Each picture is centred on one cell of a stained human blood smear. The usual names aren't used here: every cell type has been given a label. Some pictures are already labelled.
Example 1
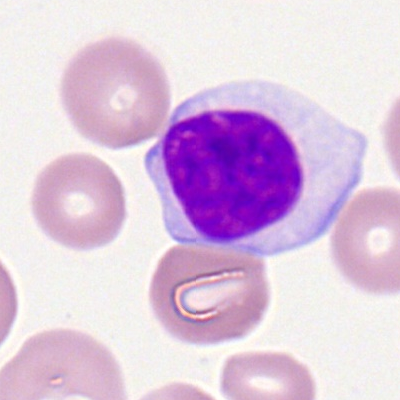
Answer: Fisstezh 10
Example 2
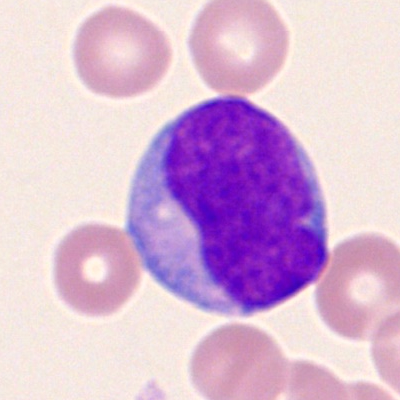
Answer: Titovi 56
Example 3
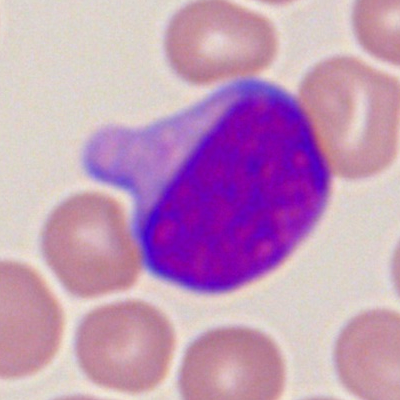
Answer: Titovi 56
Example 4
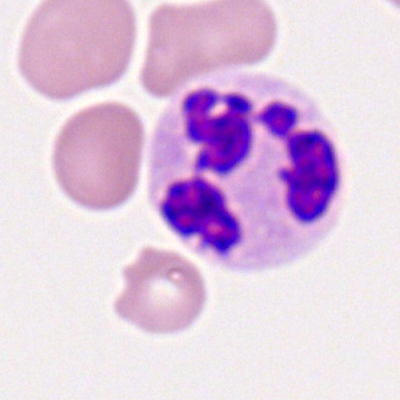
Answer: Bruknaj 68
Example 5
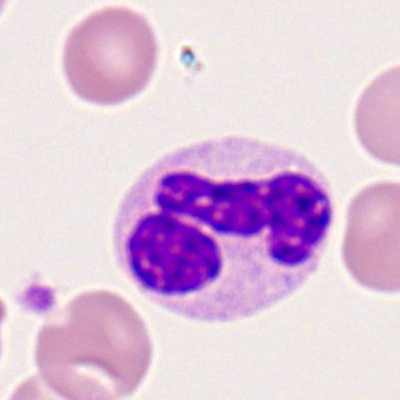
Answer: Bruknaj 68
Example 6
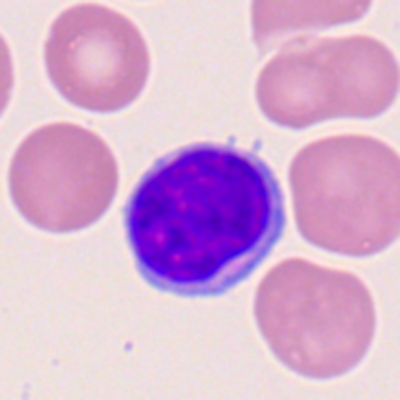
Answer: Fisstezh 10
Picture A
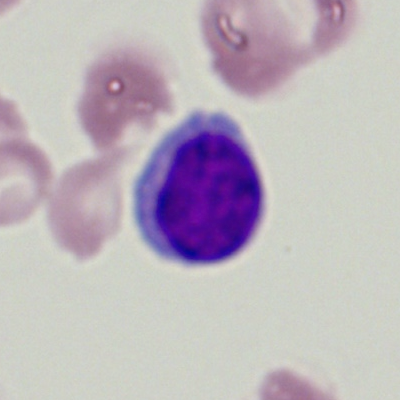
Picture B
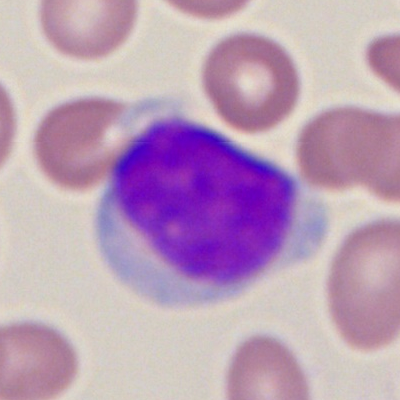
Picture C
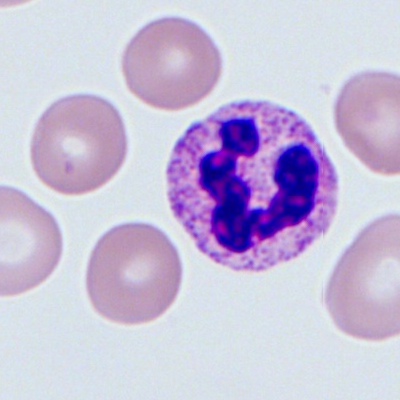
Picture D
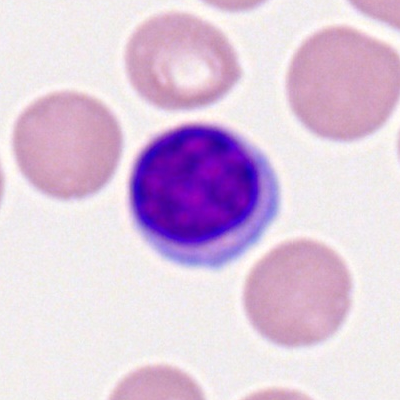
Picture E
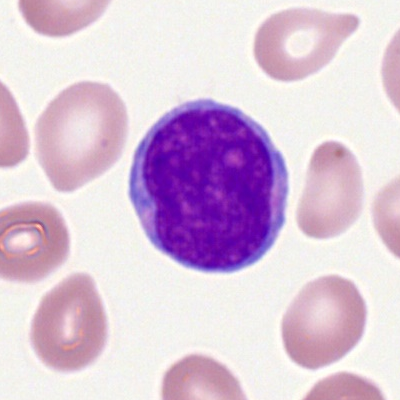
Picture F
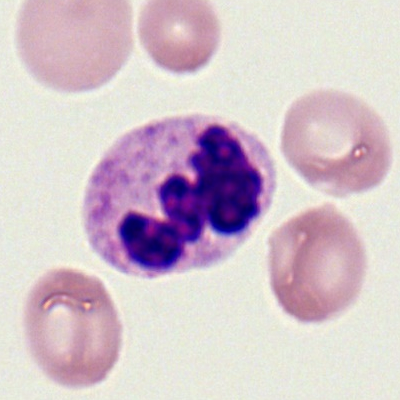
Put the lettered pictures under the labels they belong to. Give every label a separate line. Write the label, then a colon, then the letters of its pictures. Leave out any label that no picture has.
Fisstezh 10: A, B, D
Titovi 56: E
Bruknaj 68: C, F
